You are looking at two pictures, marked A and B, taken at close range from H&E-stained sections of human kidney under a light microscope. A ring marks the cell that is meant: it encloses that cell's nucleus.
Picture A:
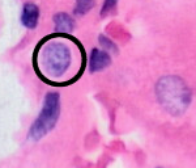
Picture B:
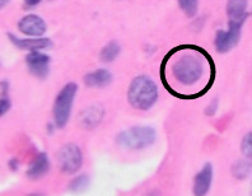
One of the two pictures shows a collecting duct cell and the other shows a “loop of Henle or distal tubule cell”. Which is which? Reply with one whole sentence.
Picture B shows a “loop of Henle or distal tubule cell”, while picture A shows a collecting duct cell.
